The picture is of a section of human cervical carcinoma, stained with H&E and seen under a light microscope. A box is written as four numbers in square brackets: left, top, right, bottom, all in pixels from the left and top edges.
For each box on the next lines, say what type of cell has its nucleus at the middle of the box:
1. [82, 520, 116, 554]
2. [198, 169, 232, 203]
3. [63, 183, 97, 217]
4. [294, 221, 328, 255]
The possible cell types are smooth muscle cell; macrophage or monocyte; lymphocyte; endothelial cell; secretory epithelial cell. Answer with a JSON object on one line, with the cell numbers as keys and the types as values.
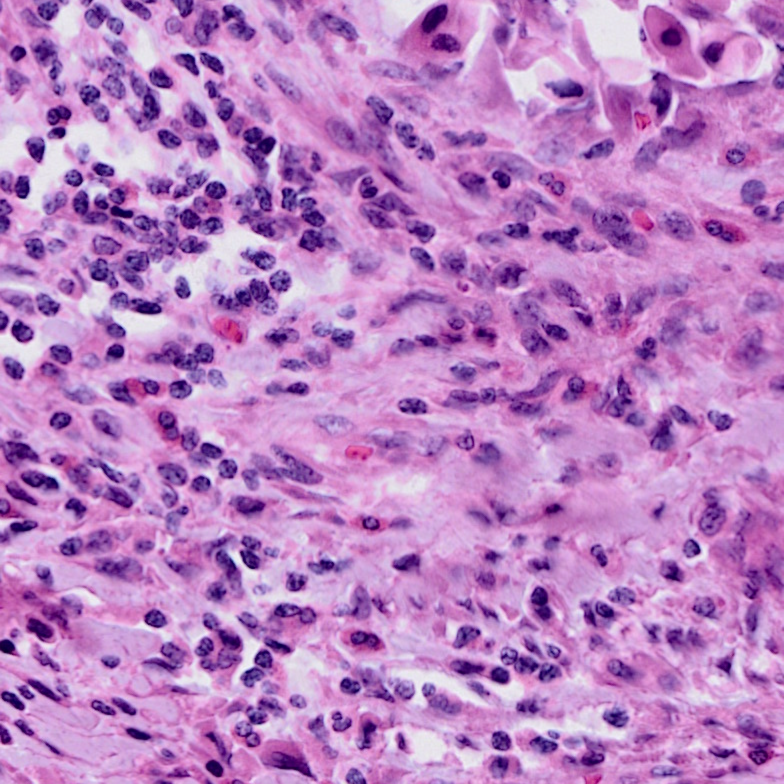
{"1": "macrophage or monocyte", "2": "lymphocyte", "3": "lymphocyte", "4": "lymphocyte"}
